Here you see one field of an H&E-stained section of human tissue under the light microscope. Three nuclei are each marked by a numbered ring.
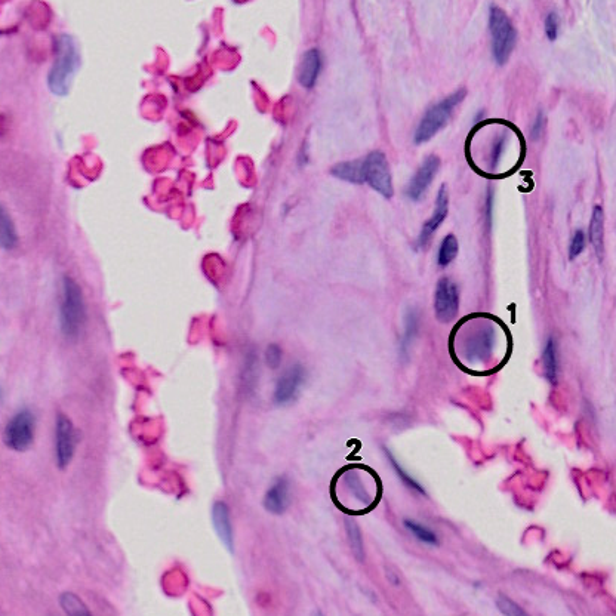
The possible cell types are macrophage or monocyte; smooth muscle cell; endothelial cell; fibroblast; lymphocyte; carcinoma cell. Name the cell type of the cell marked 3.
endothelial cell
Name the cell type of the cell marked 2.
smooth muscle cell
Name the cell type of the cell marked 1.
endothelial cell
